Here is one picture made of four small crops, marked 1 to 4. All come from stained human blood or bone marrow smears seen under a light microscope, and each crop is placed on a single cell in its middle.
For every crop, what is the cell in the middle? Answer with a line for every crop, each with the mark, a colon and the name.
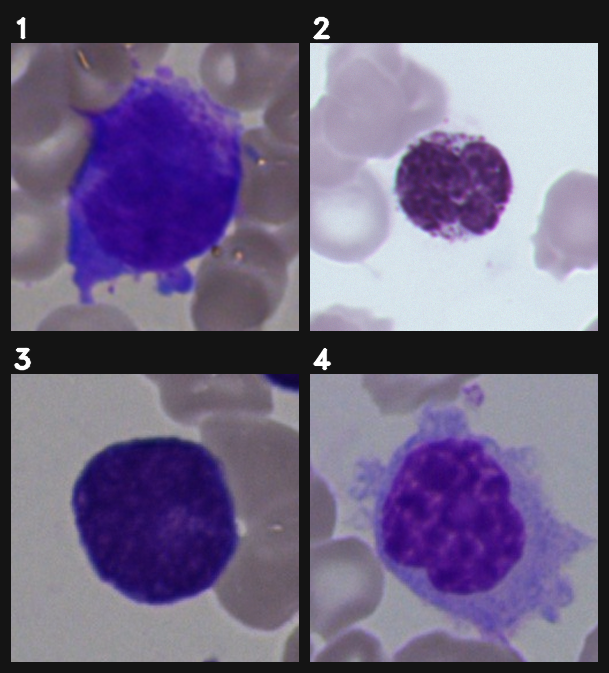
1: blast
2: basophil
3: blast
4: hairy cell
